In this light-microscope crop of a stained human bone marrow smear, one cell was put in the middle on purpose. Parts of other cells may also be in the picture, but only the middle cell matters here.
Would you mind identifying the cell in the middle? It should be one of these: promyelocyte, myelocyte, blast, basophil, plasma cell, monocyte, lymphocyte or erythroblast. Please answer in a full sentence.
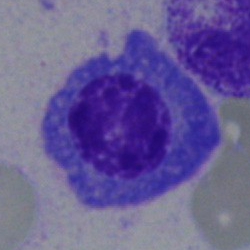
Framed in the middle of the crop is a plasma cell.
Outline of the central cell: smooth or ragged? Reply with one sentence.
Irregular and not smooth, the cell boundary is ragged or drawn out into projections.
